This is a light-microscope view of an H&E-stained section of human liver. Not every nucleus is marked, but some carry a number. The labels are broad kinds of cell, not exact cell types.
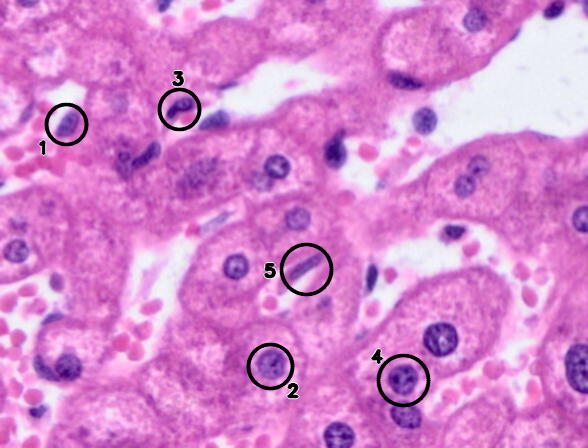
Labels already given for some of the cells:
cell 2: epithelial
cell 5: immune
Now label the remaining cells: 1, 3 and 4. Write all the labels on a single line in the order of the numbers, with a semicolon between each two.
immune; immune; epithelial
